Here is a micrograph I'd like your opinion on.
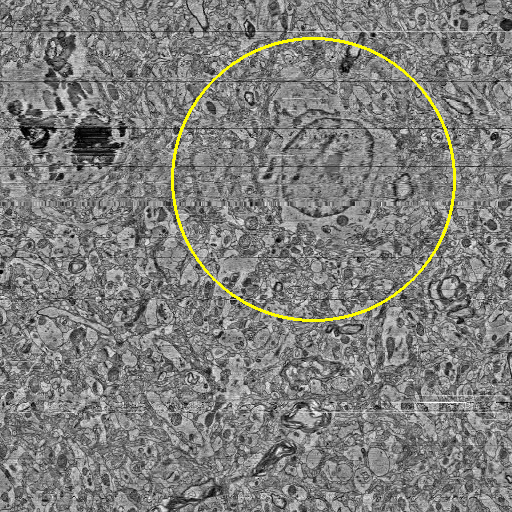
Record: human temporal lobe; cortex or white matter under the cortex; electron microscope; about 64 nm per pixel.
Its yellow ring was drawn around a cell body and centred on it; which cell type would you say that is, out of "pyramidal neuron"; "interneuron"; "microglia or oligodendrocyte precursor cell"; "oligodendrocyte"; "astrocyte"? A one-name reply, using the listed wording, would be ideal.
astrocyte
